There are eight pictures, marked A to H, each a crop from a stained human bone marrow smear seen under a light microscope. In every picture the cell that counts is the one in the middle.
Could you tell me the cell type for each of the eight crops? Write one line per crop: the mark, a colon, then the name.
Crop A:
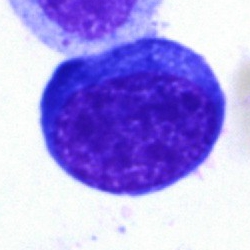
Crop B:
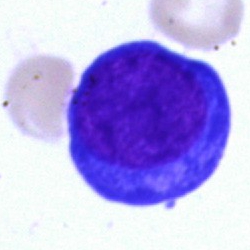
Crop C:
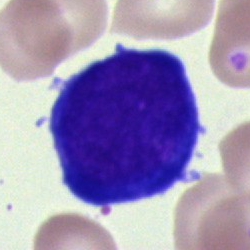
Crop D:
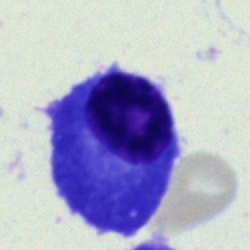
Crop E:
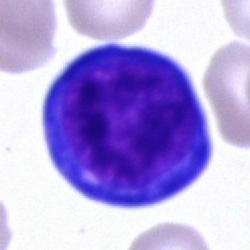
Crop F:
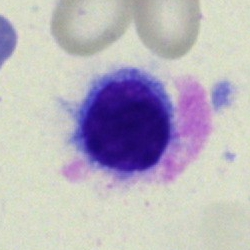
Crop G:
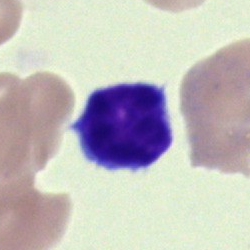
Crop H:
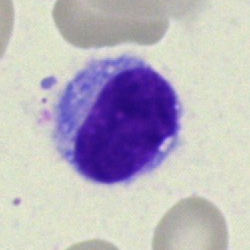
A: proerythroblast
B: proerythroblast
C: proerythroblast
D: plasma cell
E: proerythroblast
F: hairy cell
G: lymphocyte
H: hairy cell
